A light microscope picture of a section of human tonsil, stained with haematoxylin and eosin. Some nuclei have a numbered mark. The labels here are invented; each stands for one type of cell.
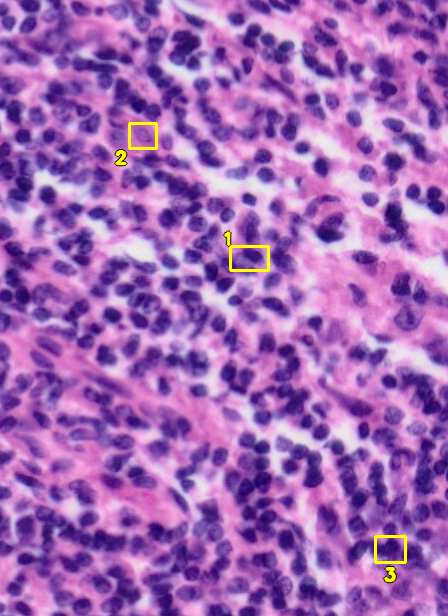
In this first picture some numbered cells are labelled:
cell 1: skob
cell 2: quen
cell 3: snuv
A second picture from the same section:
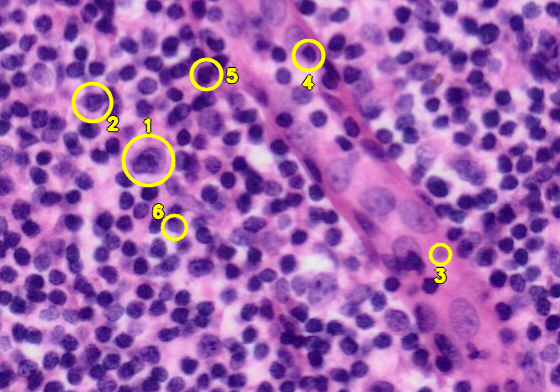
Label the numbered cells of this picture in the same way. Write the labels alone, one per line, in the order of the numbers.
skob
snuv
quen
quen
snuv
snuv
